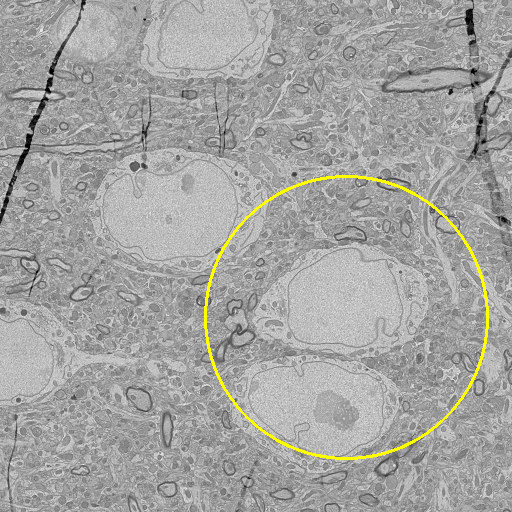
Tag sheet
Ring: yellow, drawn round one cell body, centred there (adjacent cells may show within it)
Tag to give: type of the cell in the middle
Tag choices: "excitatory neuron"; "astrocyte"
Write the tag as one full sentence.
I tag the cell centred in the yellow ring as an excitatory neuron in this picture.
